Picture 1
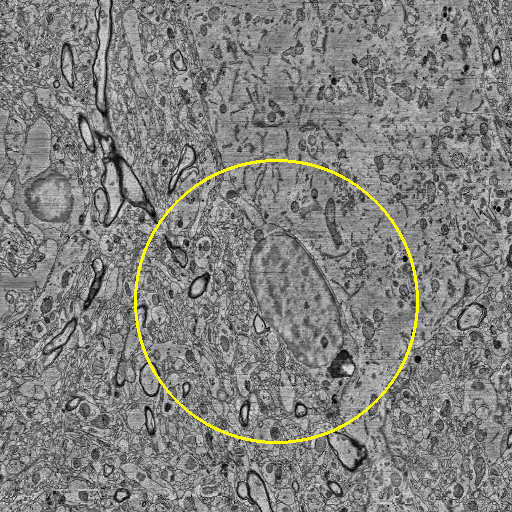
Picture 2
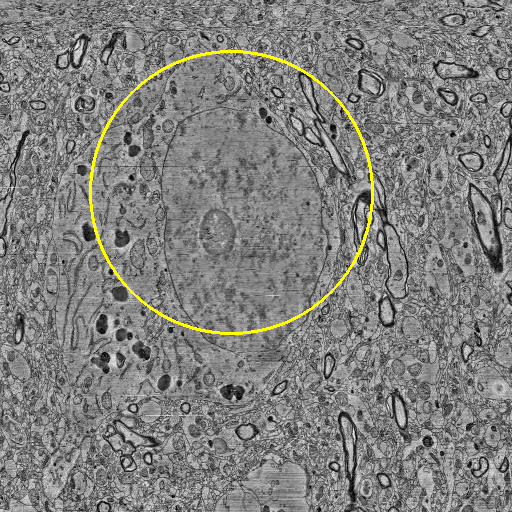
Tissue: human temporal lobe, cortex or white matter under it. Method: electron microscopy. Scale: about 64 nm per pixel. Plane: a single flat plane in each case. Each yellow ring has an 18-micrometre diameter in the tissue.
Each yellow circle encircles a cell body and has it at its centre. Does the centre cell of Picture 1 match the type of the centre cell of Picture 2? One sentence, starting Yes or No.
No, the cell centred in Picture 1 and the one in Picture 2 have separate types.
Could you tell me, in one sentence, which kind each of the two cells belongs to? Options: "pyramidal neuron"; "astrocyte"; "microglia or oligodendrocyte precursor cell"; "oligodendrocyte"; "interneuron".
At the centre of the first ring sits an oligodendrocyte, and at the centre of the second sits a pyramidal neuron.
